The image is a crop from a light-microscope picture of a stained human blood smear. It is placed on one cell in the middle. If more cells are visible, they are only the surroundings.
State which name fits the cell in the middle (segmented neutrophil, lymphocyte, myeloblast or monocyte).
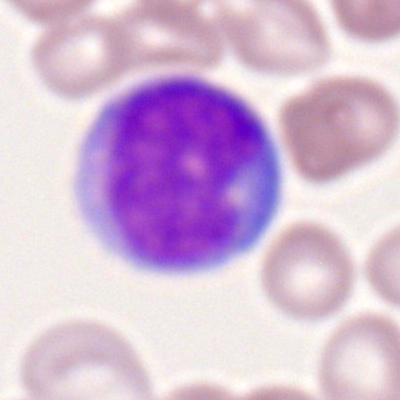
myeloblast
